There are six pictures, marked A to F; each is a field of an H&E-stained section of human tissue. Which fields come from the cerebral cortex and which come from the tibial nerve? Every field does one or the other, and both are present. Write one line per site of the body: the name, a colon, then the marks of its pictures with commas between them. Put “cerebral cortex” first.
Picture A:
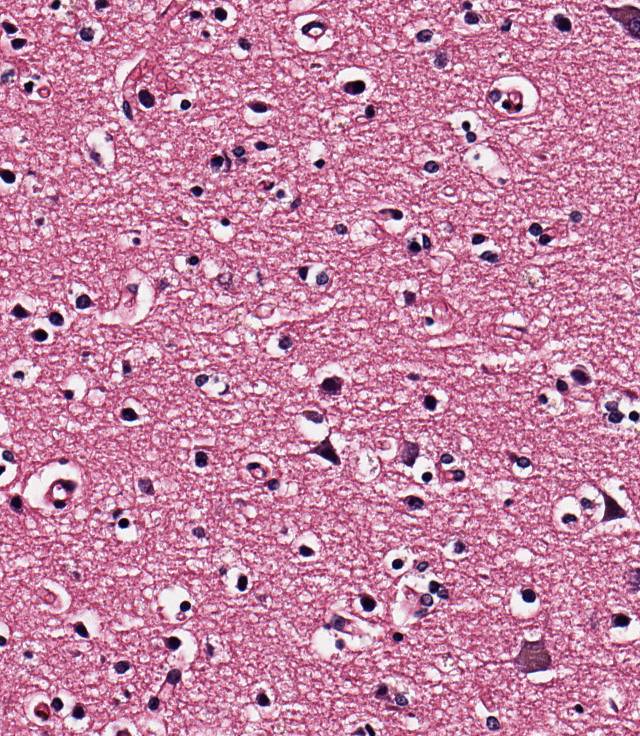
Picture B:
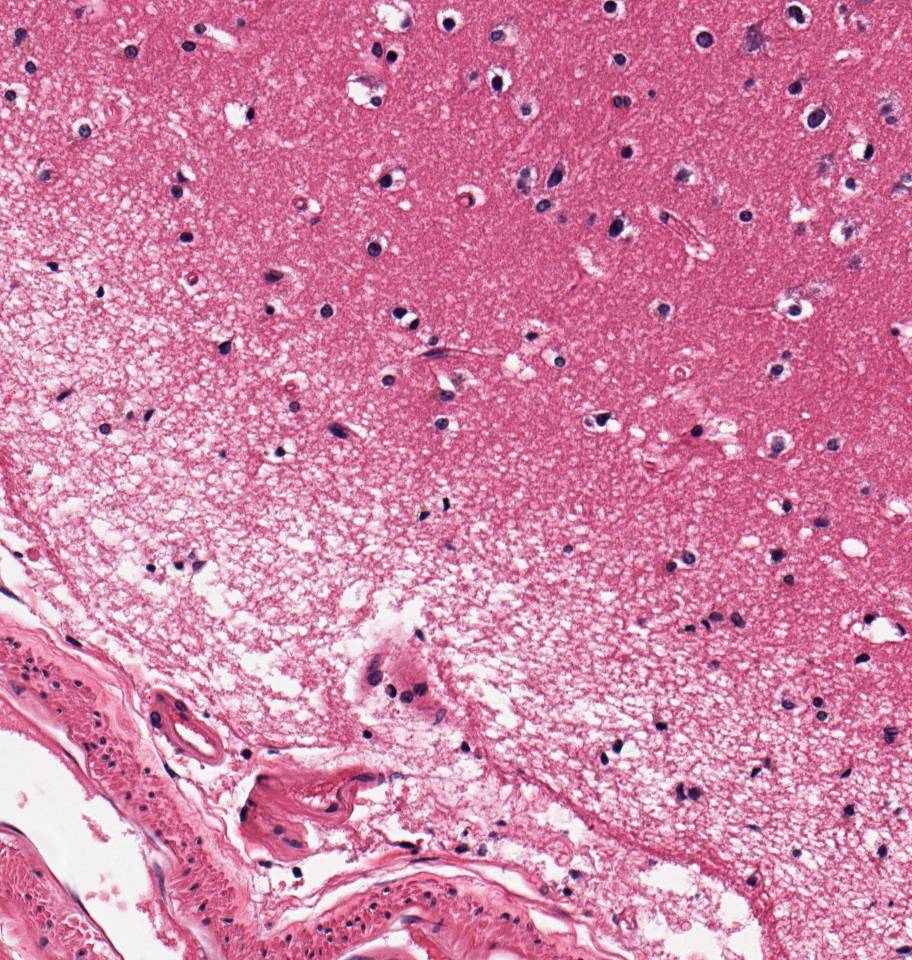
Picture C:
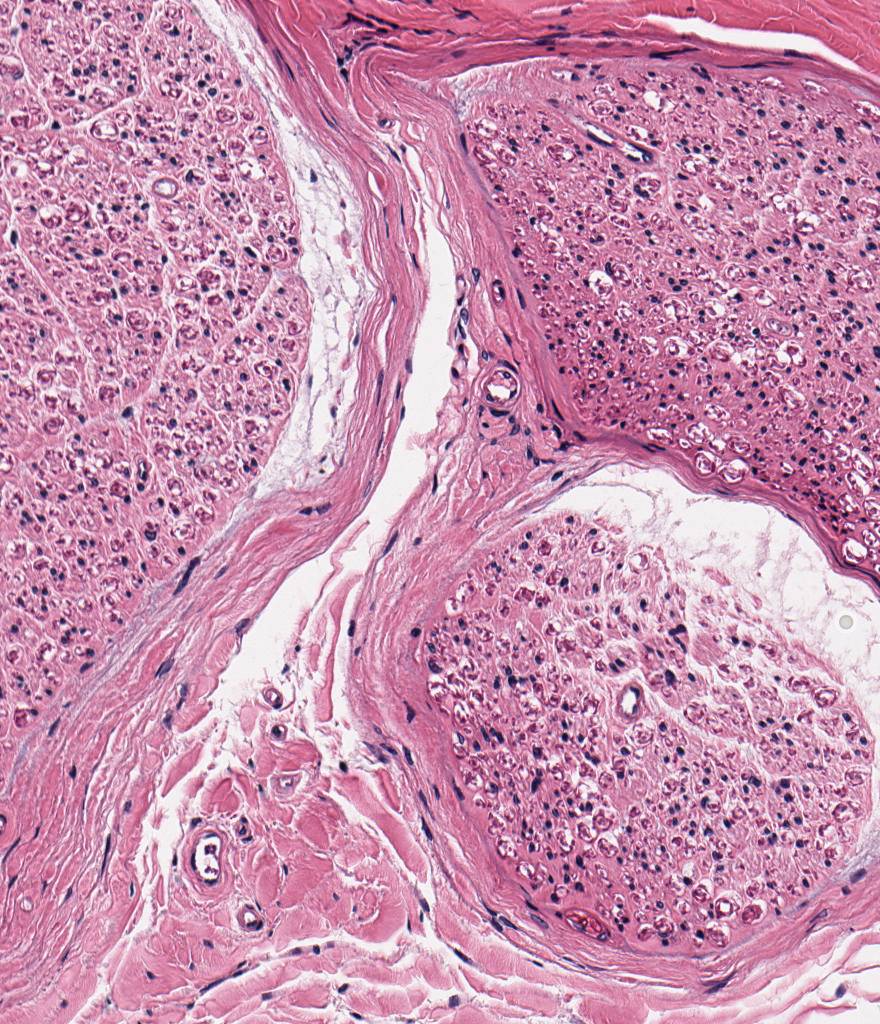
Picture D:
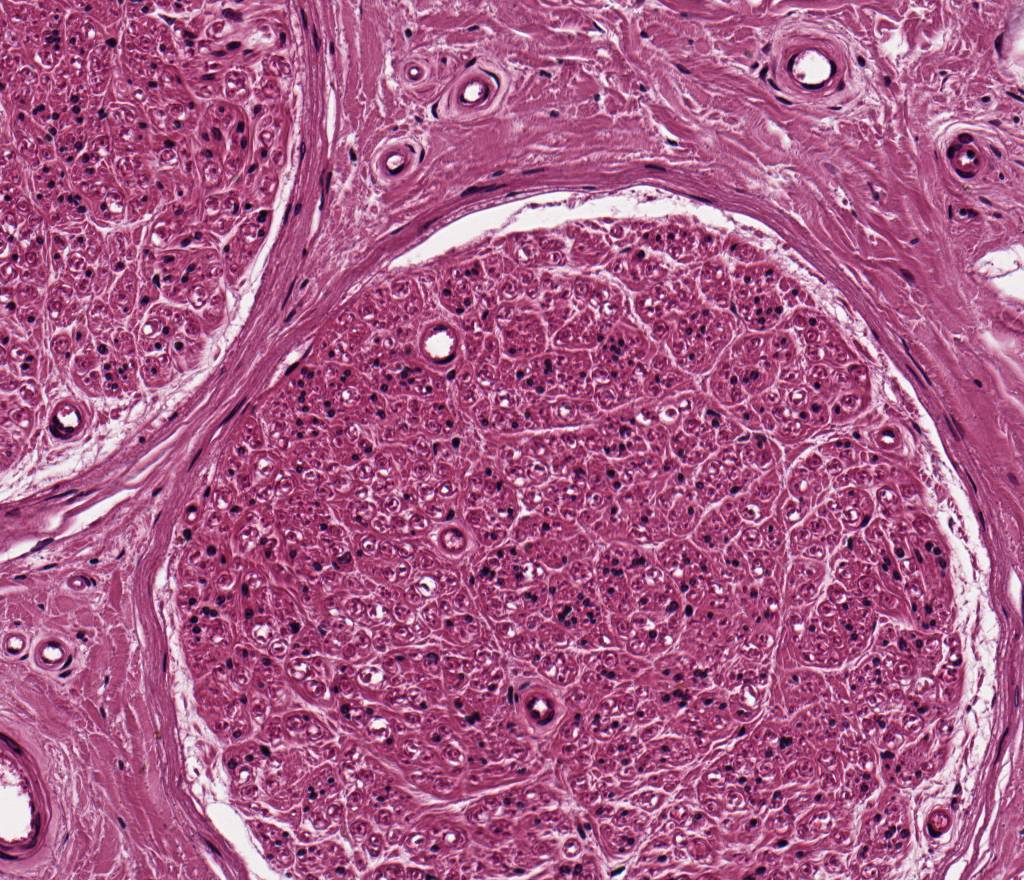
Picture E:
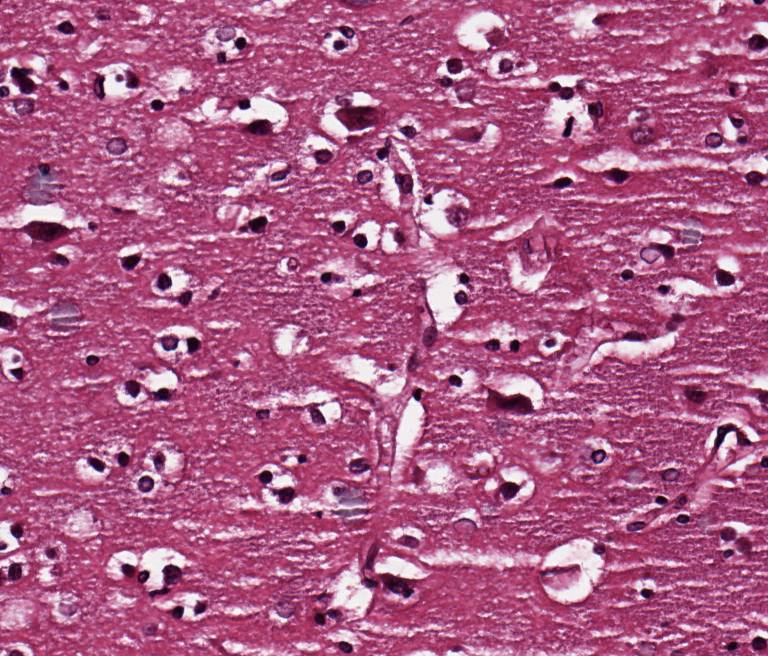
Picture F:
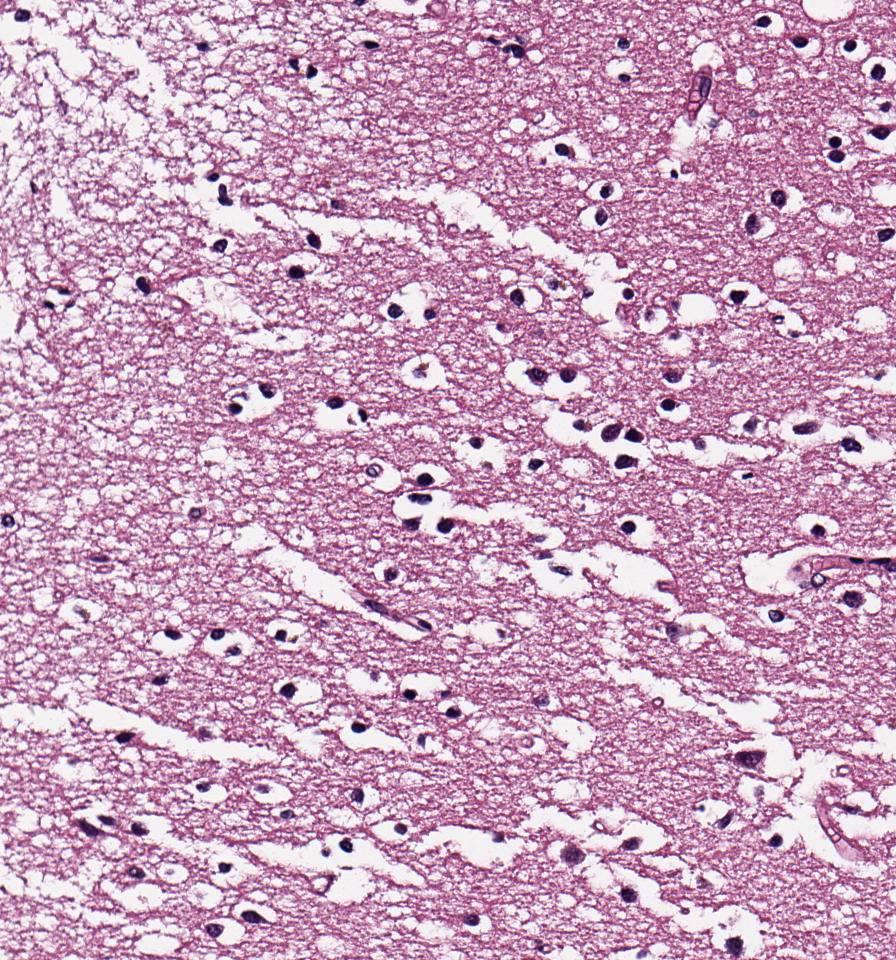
cerebral cortex: A, B, E, F
tibial nerve: C, D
